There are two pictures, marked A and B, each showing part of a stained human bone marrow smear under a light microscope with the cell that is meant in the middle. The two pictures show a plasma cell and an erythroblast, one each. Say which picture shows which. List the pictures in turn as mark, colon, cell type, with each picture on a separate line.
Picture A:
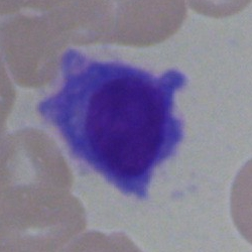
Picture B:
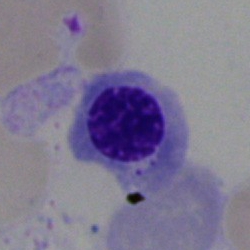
A: plasma cell
B: erythroblast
